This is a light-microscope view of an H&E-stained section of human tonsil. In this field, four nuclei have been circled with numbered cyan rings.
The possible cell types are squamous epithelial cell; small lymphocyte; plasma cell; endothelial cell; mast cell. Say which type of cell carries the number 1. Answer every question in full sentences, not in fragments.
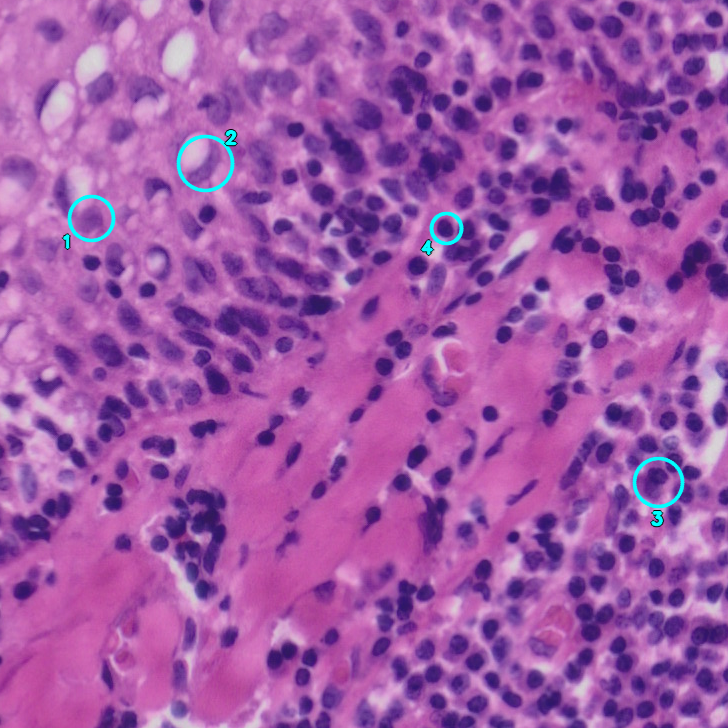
Cell 1 in the field of view is a squamous epithelial cell.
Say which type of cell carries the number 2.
The cell that bears the number 2 is a squamous epithelial cell.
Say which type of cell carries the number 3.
Classified as a plasma cell is the cell with the number 3.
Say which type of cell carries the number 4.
The marked nucleus 4 is that of a plasma cell.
